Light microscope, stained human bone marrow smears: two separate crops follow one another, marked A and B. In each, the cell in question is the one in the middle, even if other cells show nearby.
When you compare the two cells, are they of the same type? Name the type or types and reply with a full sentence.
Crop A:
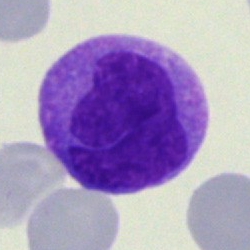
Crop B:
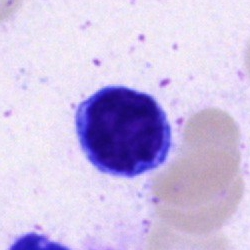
No, crop B centres on a lymphocyte, and crop A centres on a monocyte.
